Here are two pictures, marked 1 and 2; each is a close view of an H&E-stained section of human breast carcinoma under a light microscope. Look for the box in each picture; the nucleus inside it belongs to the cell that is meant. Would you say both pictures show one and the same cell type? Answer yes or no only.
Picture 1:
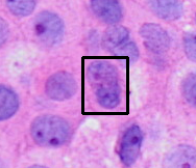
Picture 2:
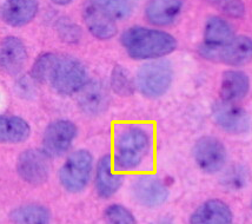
yes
